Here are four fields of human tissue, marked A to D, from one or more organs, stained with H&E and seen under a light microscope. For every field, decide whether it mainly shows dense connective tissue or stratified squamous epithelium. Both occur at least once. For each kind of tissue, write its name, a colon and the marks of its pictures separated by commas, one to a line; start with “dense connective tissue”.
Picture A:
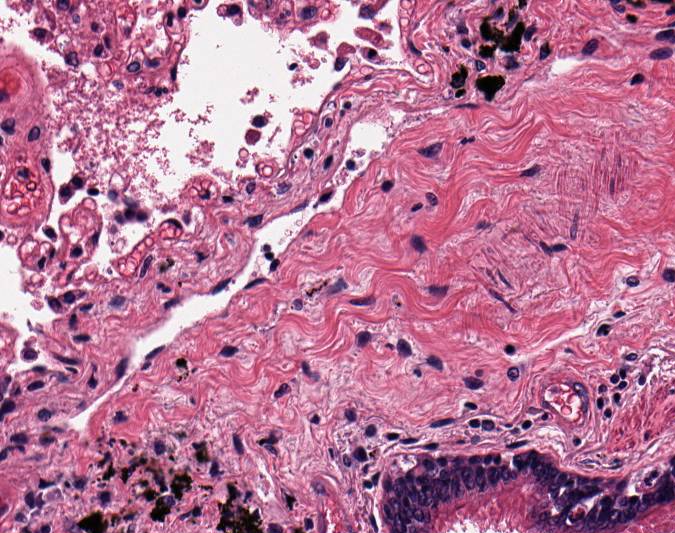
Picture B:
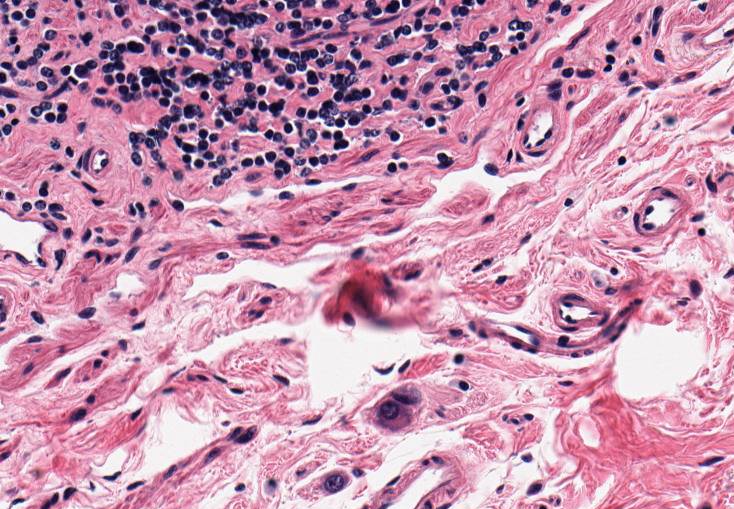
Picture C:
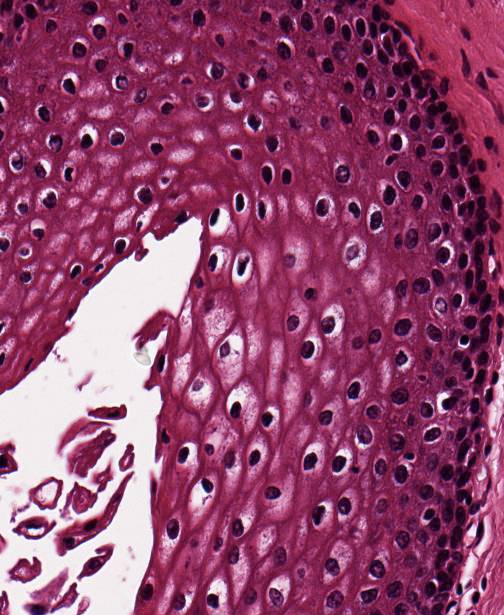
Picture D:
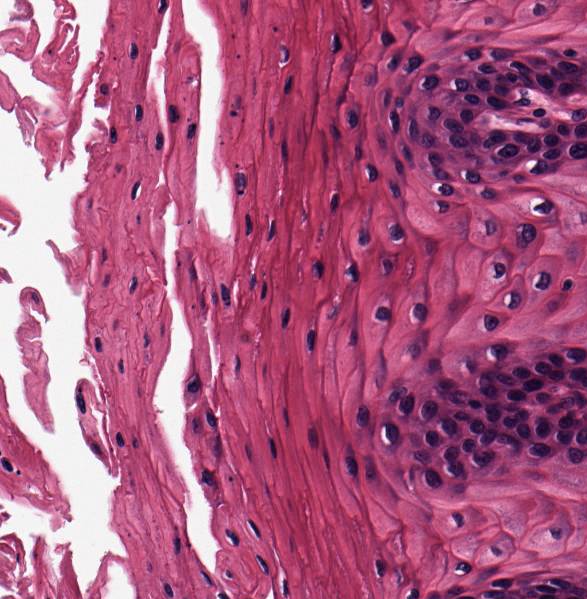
dense connective tissue: A, B
stratified squamous epithelium: C, D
